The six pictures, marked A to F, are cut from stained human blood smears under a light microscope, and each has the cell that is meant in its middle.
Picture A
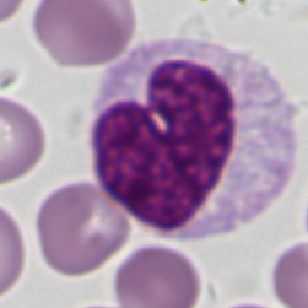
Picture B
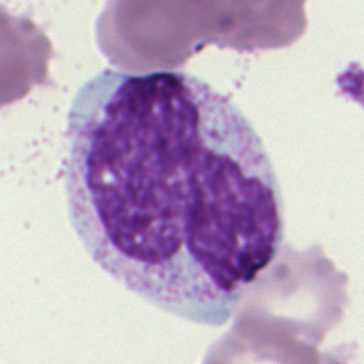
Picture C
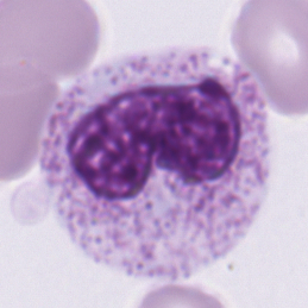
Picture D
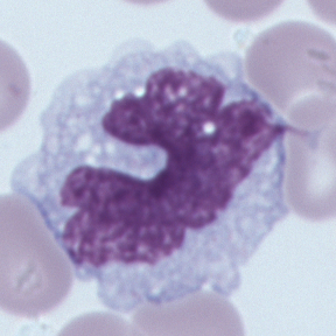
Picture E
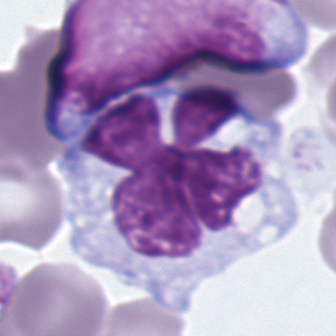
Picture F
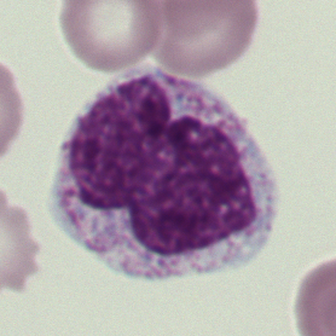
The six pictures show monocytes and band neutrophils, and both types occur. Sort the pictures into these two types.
A: band neutrophil
B: band neutrophil
C: band neutrophil
D: monocyte
E: monocyte
F: band neutrophil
